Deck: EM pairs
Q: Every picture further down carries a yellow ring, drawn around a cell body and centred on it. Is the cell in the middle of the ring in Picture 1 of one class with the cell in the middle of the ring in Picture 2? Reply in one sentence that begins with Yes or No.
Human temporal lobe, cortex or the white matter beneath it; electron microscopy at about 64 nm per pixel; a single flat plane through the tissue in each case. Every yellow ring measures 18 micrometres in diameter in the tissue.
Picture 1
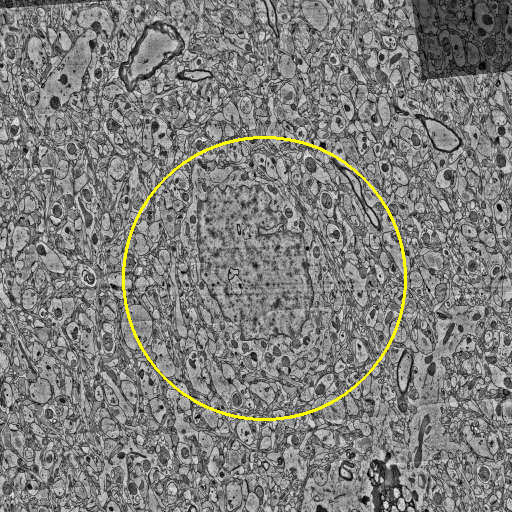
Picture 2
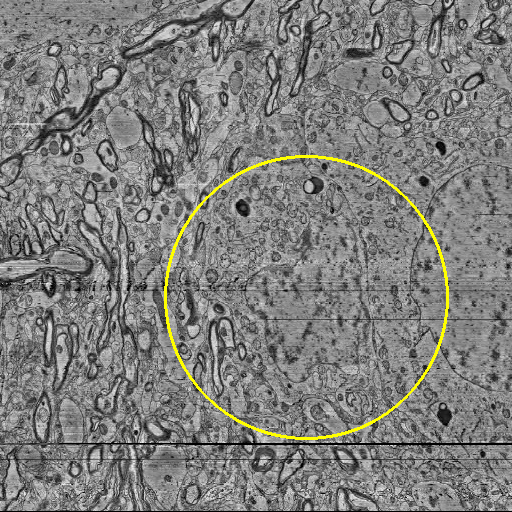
Yes, the cell centred in the ring of Picture 1 and the one in Picture 2 belong to one class.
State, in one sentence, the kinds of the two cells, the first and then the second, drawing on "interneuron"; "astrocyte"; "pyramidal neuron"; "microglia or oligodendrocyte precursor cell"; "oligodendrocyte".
Each of the two rings surrounds an interneuron.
